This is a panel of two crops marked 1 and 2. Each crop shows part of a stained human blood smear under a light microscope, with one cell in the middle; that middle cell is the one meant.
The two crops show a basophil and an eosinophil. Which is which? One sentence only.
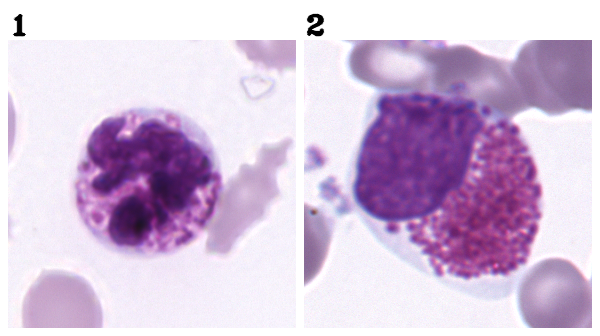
Crop 1 features a basophil, while crop 2 features an eosinophil.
